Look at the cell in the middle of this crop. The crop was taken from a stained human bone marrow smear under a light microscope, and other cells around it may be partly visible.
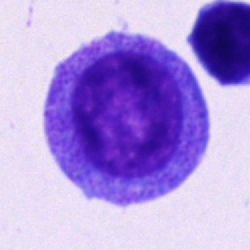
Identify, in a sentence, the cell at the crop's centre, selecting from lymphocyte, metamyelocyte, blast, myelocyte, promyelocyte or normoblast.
Located at the centre of the crop is a promyelocyte.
